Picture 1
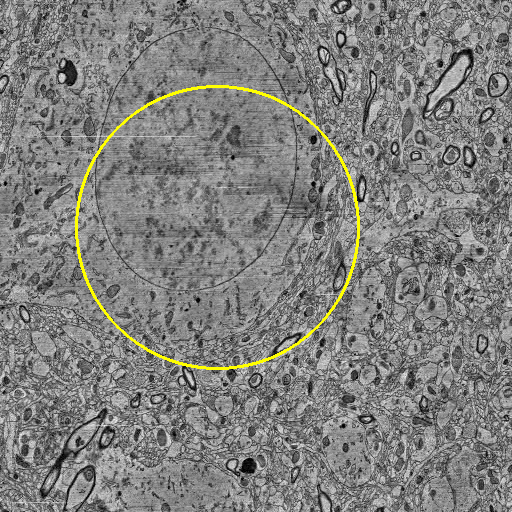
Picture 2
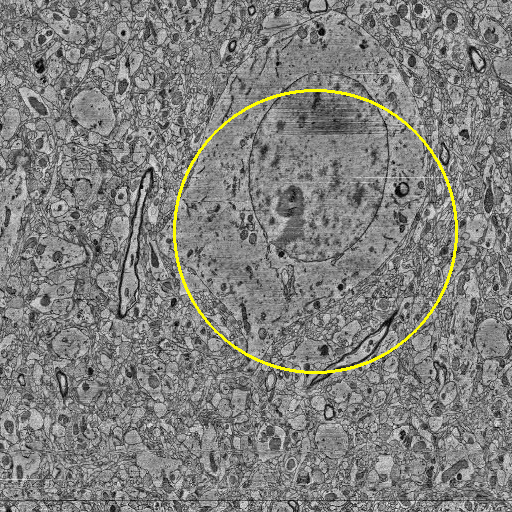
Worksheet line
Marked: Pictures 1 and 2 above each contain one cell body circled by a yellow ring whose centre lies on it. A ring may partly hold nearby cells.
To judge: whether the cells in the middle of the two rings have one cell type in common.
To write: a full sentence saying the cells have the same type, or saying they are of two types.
The cells in the middle of the rings in Picture 1 and Picture 2 have the same type.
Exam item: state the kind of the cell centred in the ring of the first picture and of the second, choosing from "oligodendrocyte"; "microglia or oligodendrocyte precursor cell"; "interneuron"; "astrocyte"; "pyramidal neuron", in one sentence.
The second cell is a pyramidal neuron, just as the first is.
